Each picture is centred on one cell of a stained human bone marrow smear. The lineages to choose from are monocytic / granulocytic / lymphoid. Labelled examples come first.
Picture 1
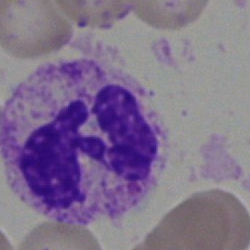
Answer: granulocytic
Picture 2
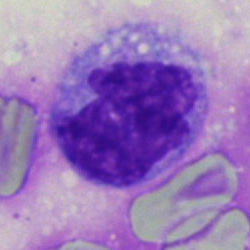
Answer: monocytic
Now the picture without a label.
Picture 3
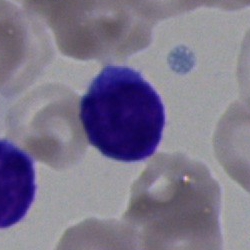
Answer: lymphoid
